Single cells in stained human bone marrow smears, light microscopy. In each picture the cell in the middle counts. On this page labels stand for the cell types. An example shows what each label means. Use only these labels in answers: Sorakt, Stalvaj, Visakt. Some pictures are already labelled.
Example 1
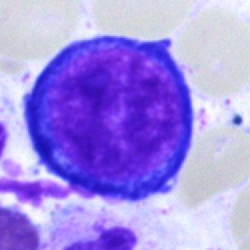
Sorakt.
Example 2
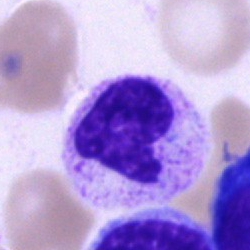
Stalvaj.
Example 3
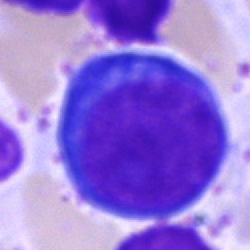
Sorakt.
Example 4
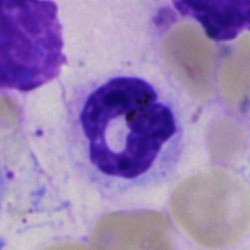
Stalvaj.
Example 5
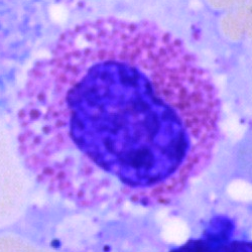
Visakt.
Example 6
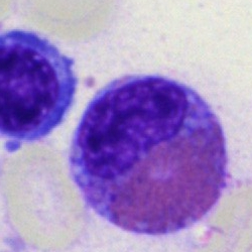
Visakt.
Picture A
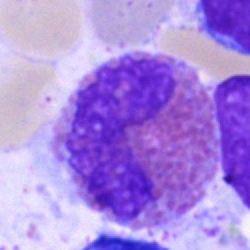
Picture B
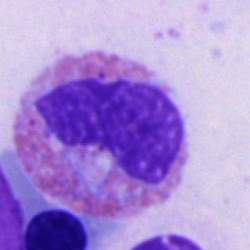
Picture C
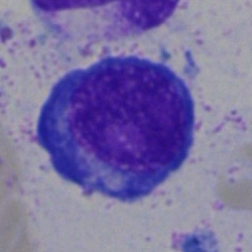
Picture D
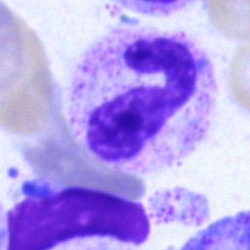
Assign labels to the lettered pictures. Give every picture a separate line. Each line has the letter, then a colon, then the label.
A: Visakt.
B: Visakt.
C: Sorakt.
D: Stalvaj.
